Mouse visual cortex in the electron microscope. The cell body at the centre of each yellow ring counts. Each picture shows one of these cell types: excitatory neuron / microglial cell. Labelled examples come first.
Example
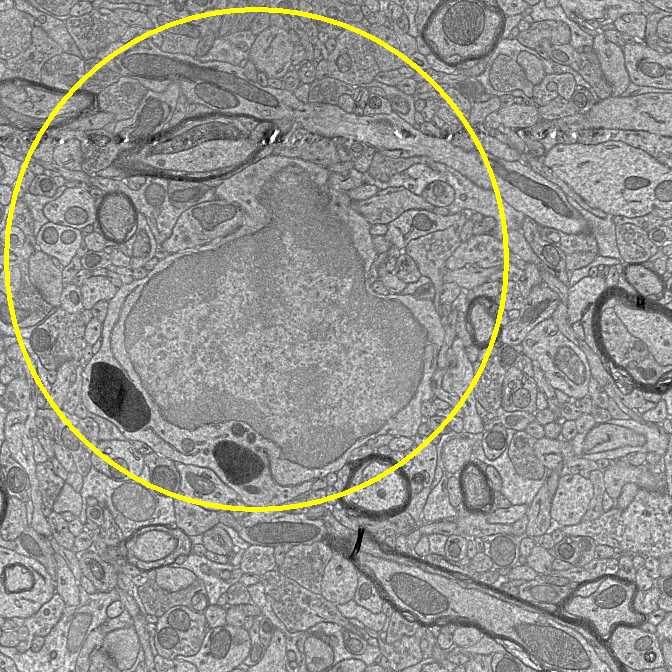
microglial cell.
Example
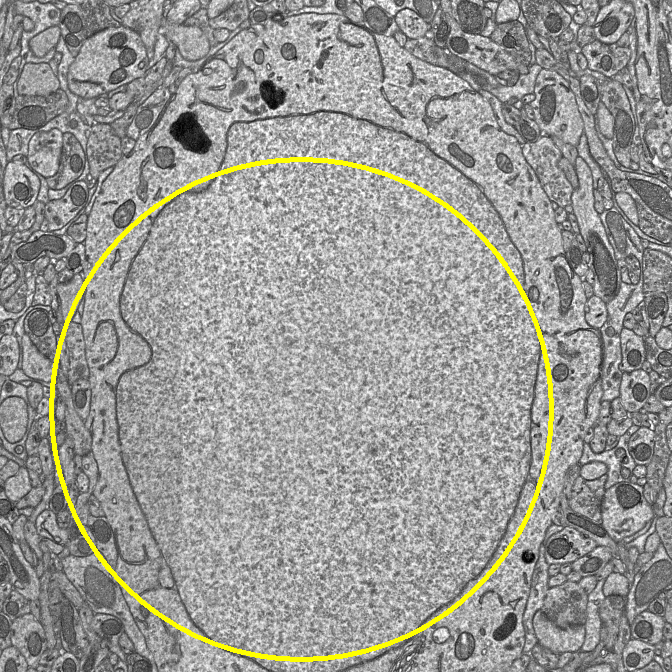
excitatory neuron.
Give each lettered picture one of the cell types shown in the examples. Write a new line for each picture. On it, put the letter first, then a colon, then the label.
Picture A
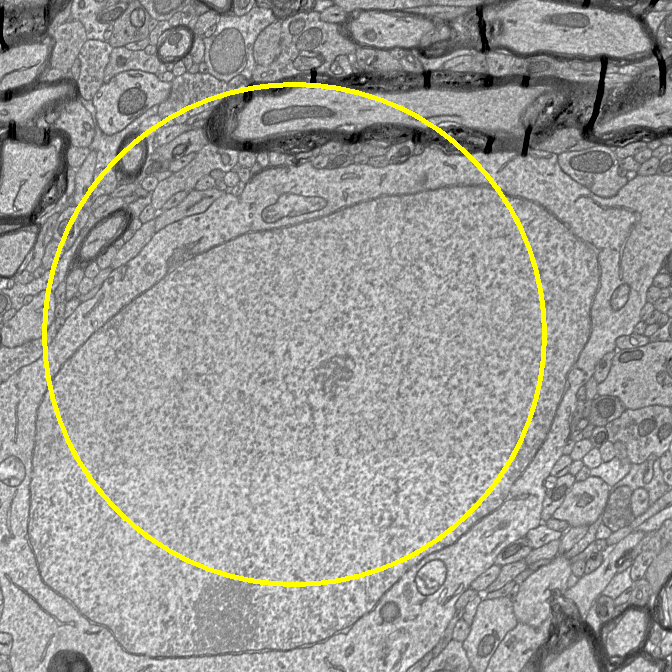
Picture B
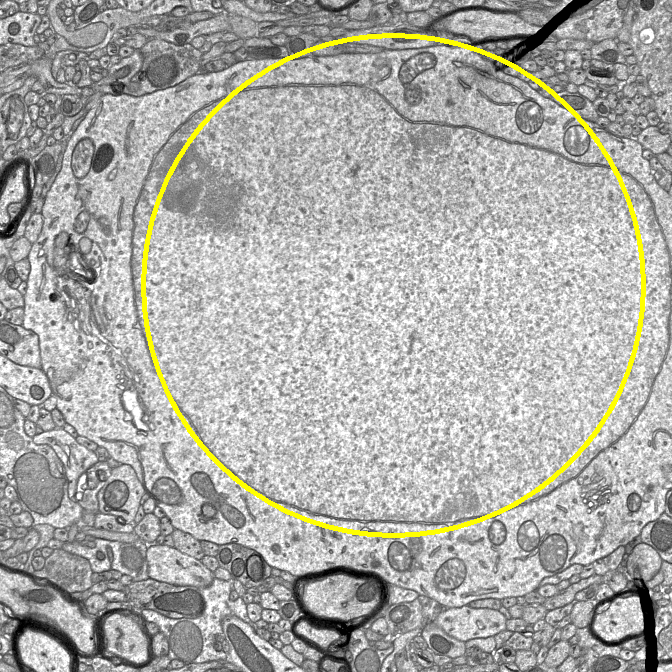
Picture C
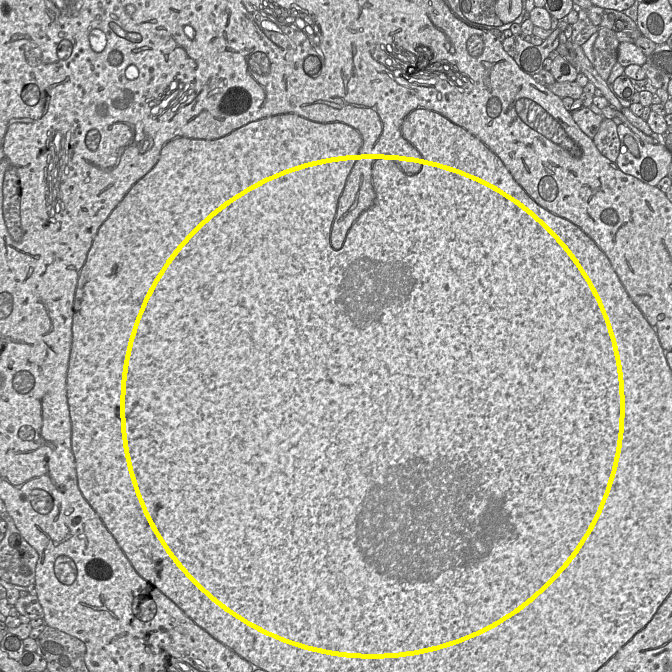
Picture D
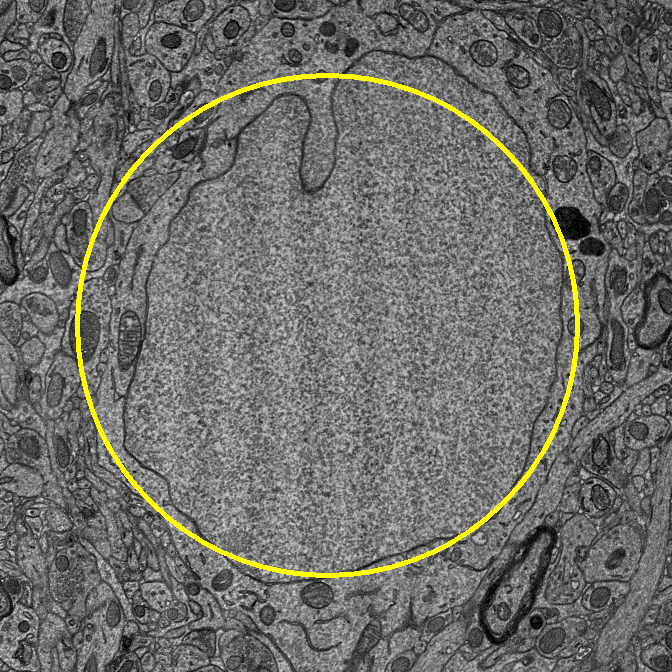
A: excitatory neuron.
B: excitatory neuron.
C: excitatory neuron.
D: excitatory neuron.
